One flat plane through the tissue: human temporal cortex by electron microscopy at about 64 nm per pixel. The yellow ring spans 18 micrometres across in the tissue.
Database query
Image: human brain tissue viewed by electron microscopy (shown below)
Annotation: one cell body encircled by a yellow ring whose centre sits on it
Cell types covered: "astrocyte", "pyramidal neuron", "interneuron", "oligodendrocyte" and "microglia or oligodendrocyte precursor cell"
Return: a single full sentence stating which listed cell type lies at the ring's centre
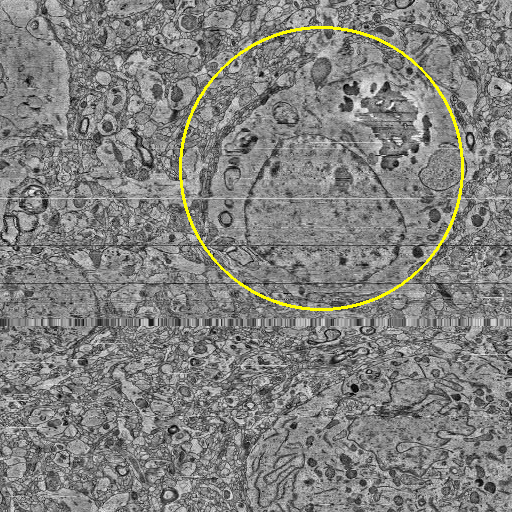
In the image, the cell lying at the ring's centre is an astrocyte.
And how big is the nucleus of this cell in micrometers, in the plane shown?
In this plane, roughly 10 micrometres across.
